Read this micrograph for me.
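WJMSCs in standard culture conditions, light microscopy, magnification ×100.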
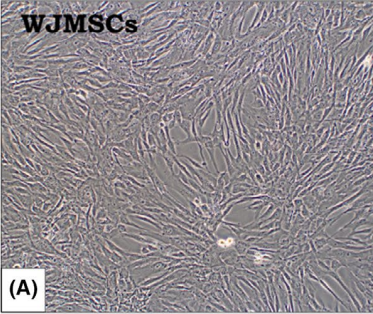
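The cells lie side by side in roughly parallel, swirling streams. A few small, round, bright cells sit on top of the layer.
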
